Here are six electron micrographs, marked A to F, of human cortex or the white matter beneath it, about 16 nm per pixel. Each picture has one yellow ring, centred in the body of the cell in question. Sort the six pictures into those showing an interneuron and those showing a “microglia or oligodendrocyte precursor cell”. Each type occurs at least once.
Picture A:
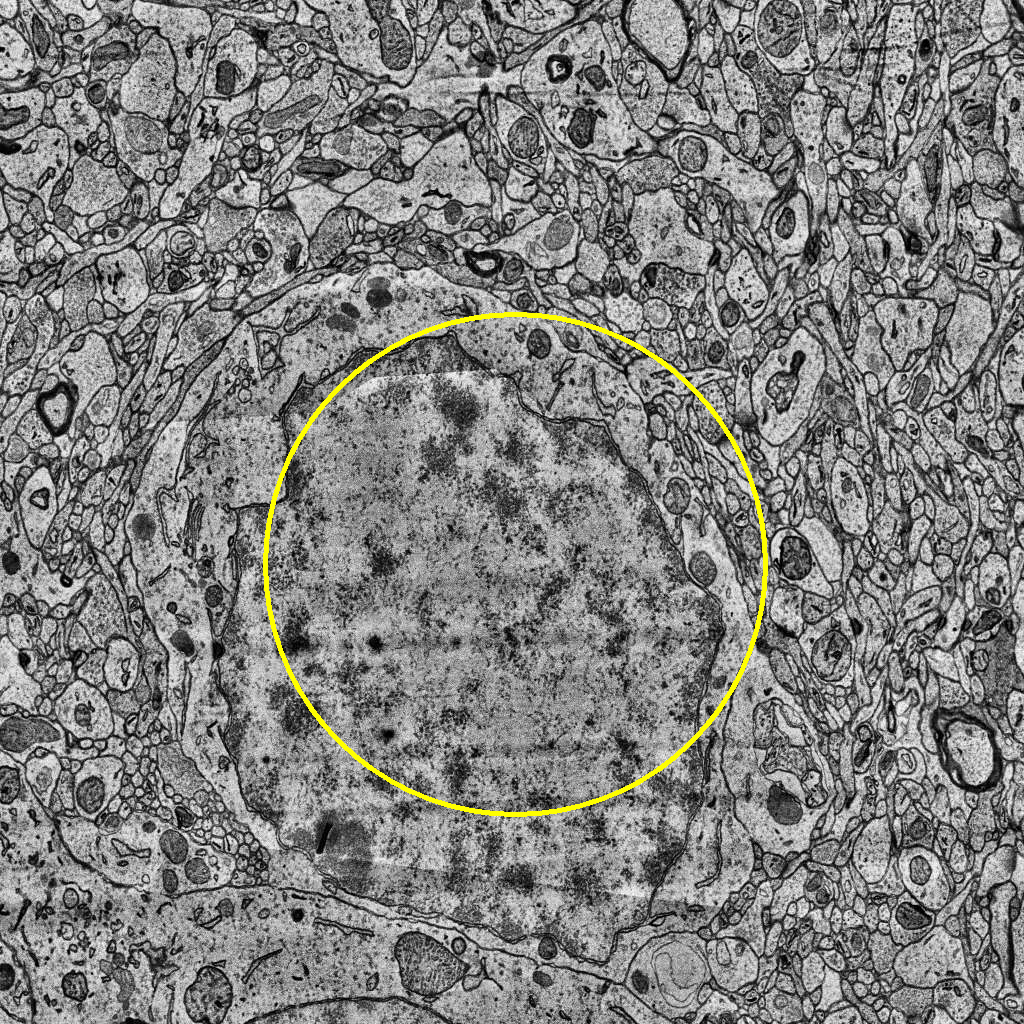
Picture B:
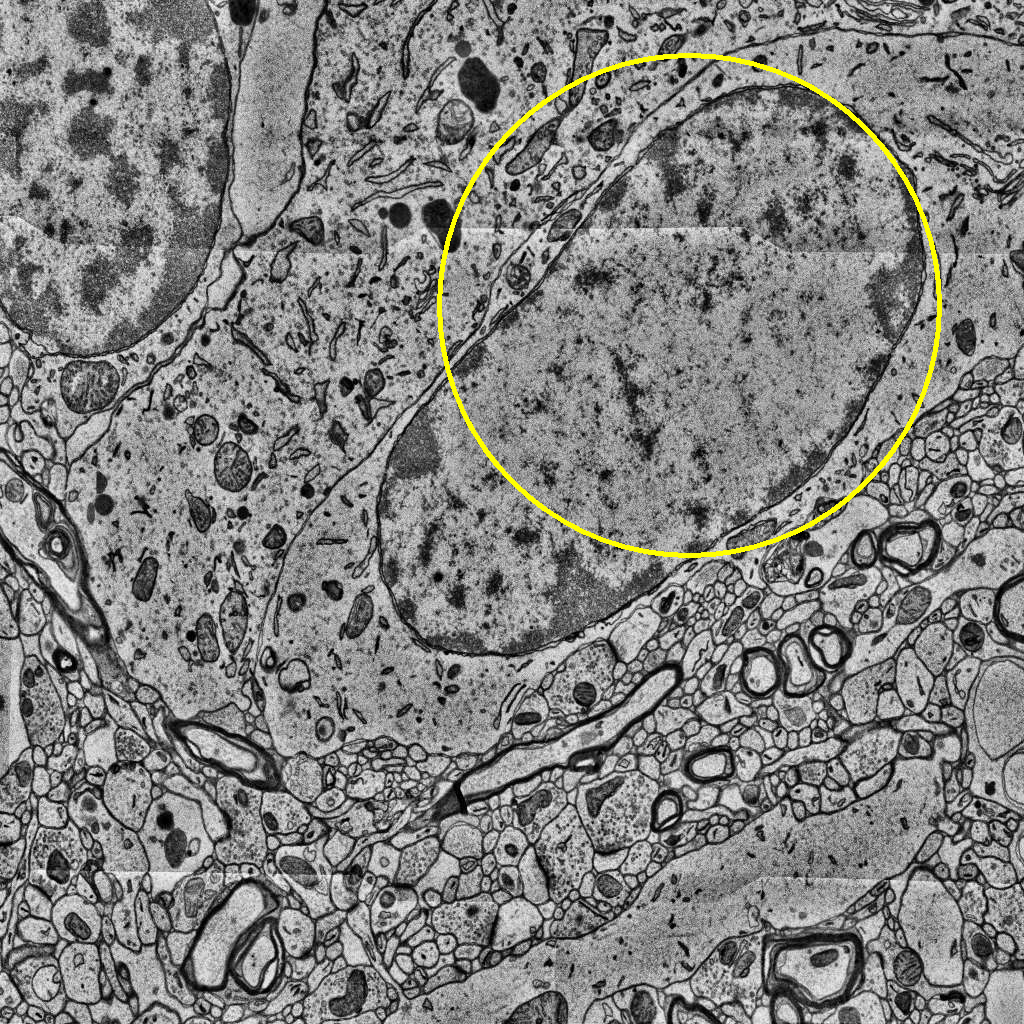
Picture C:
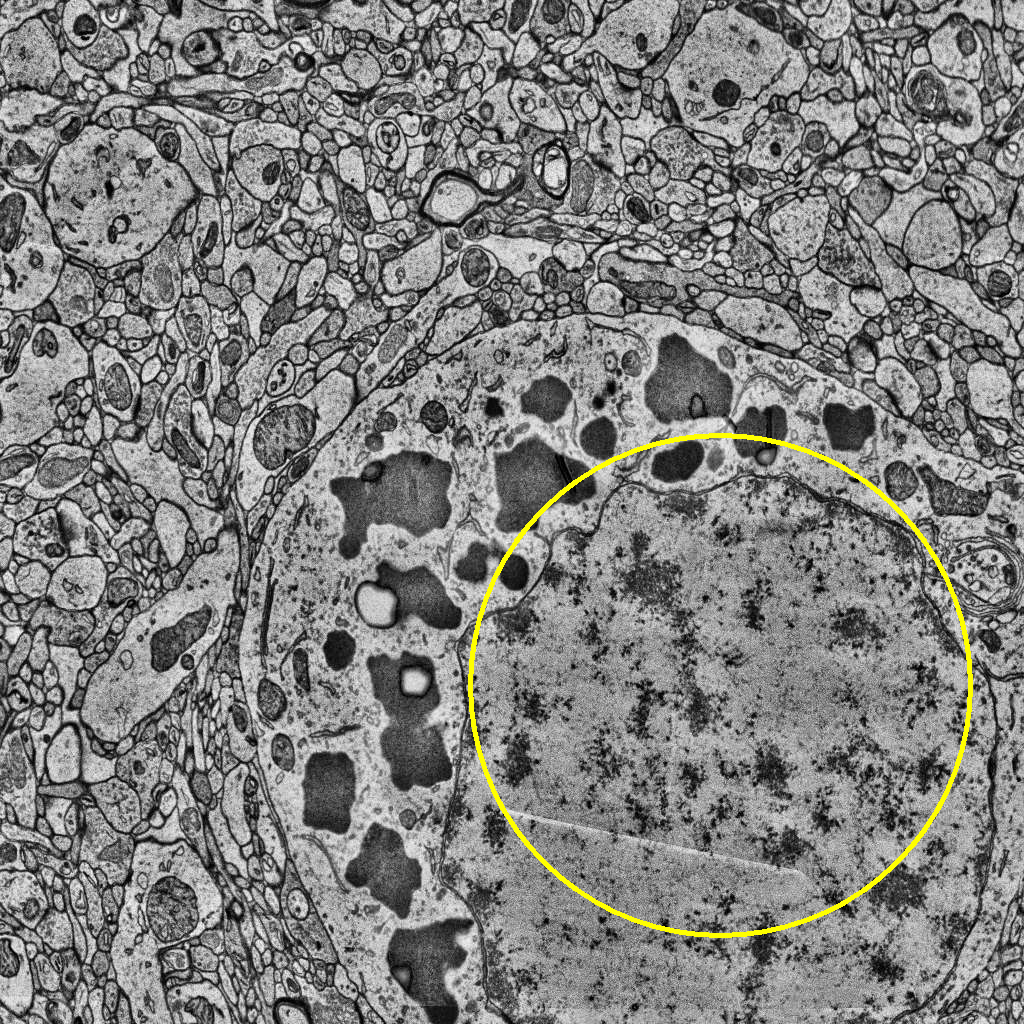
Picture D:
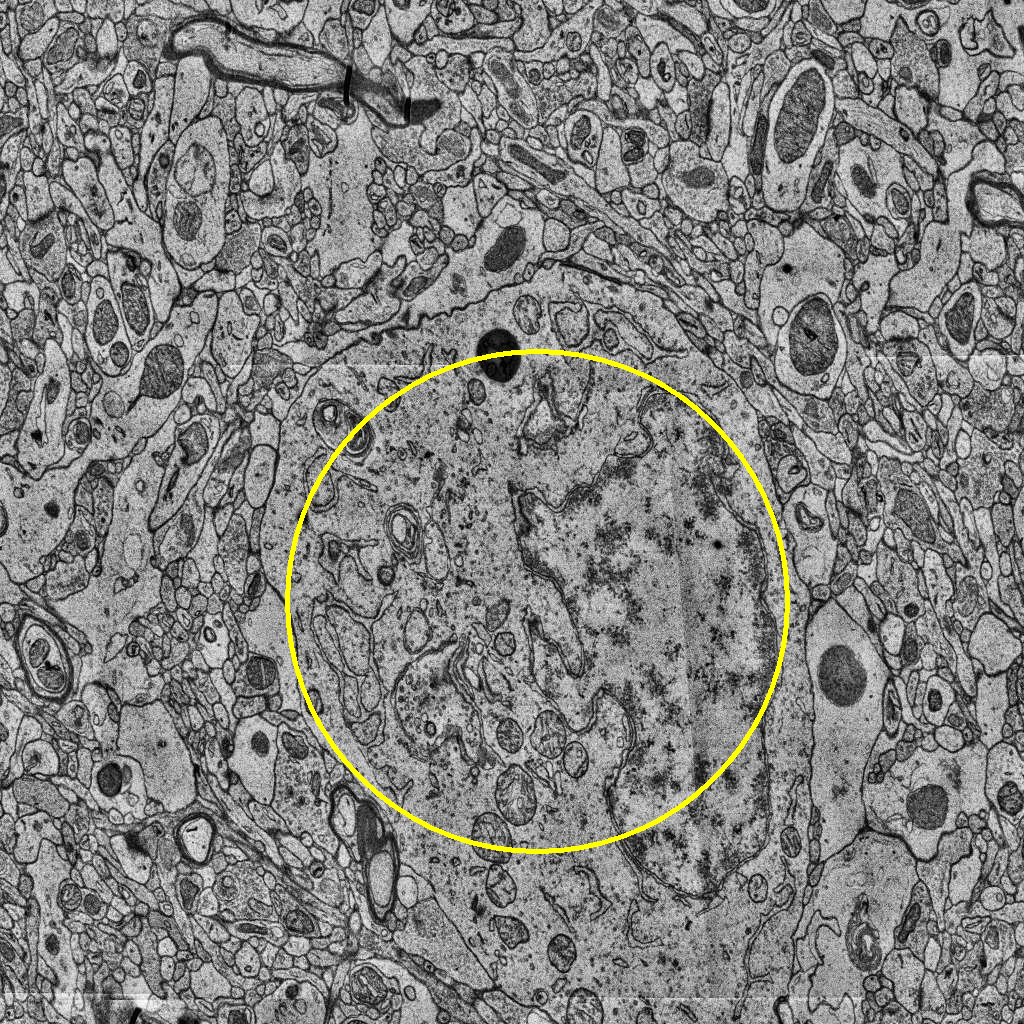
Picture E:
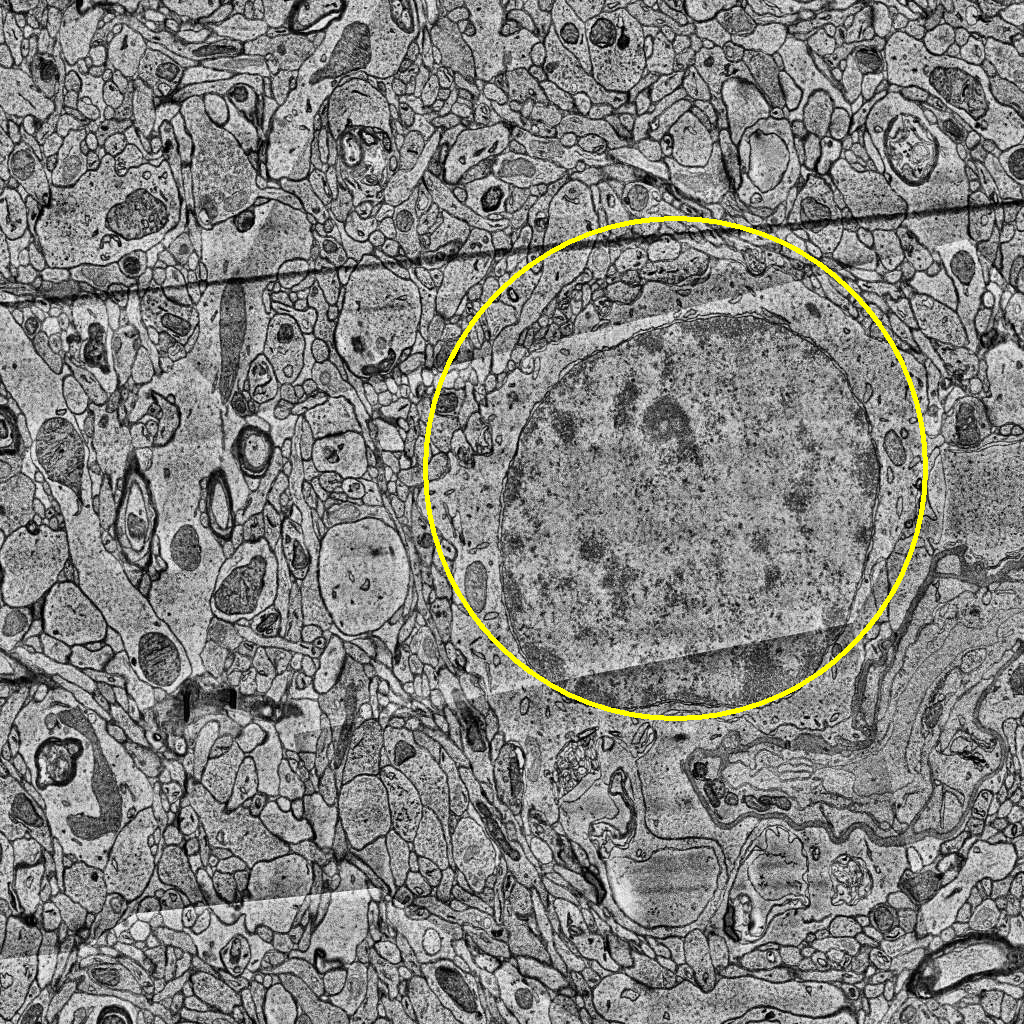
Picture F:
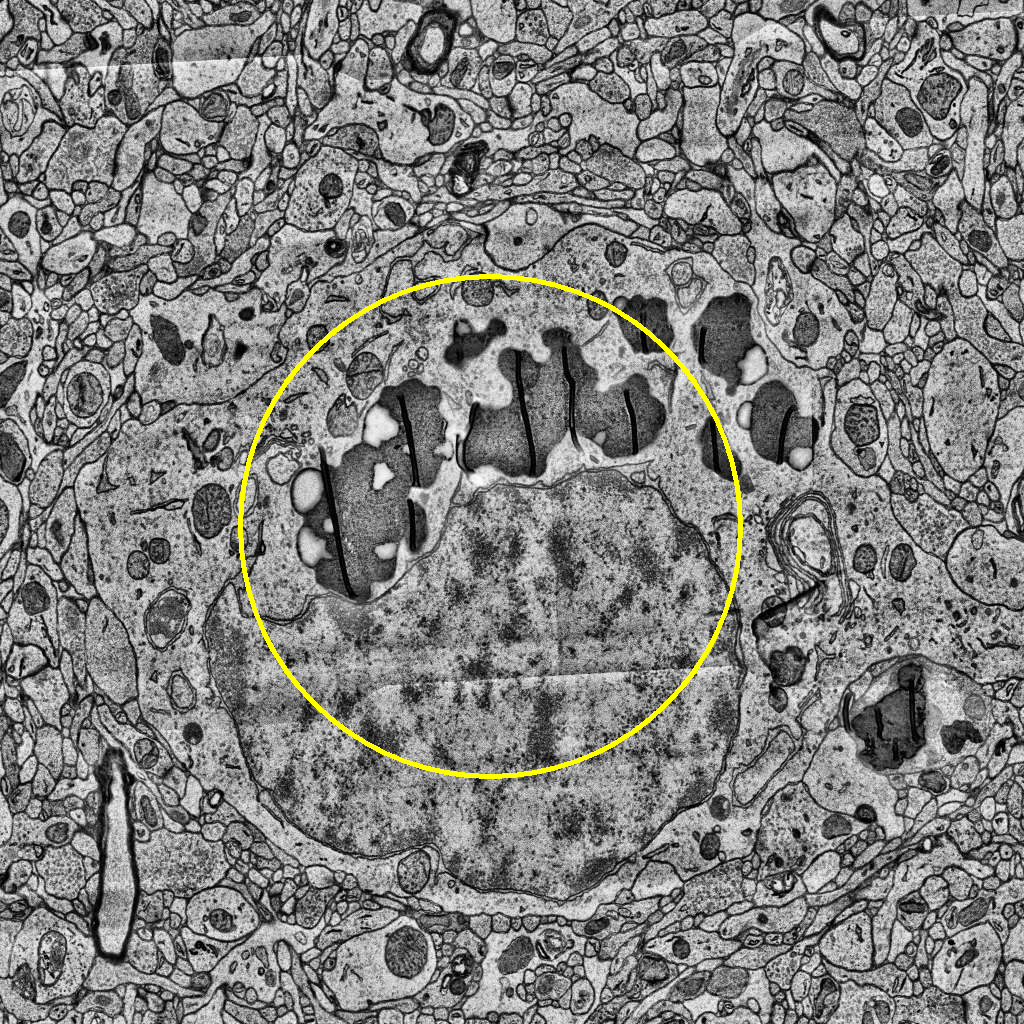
Pictures A, C, D and F show interneurons; pictures B and E show “microglia or oligodendrocyte precursor cells”.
